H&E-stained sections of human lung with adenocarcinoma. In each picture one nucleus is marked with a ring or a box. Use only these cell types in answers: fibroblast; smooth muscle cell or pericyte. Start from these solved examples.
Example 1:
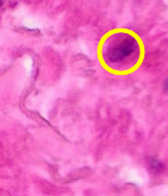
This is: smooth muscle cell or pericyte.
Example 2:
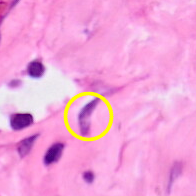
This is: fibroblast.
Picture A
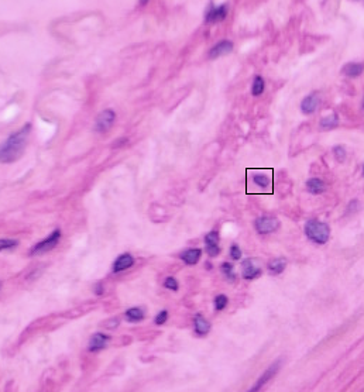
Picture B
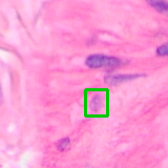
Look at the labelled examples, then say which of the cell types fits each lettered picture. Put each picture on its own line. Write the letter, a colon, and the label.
A: smooth muscle cell or pericyte.
B: smooth muscle cell or pericyte.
